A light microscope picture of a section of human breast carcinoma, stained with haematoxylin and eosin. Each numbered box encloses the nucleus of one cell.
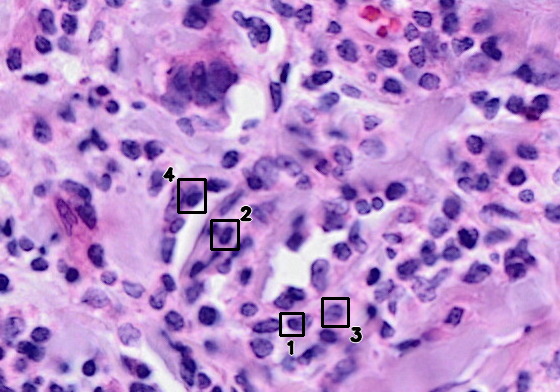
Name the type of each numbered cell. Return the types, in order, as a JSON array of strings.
["lymphocyte", "lymphocyte", "mast cell", "lymphocyte"]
